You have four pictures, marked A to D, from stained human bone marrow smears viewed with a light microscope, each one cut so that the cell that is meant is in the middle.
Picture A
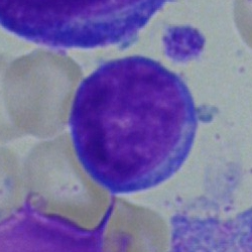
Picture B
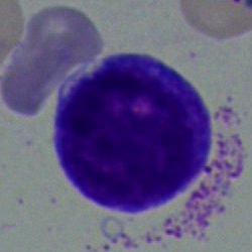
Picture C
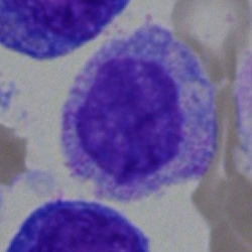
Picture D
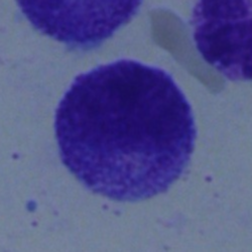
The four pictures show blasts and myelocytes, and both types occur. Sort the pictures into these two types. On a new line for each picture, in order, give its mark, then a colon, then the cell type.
A: blast
B: blast
C: myelocyte
D: myelocyte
